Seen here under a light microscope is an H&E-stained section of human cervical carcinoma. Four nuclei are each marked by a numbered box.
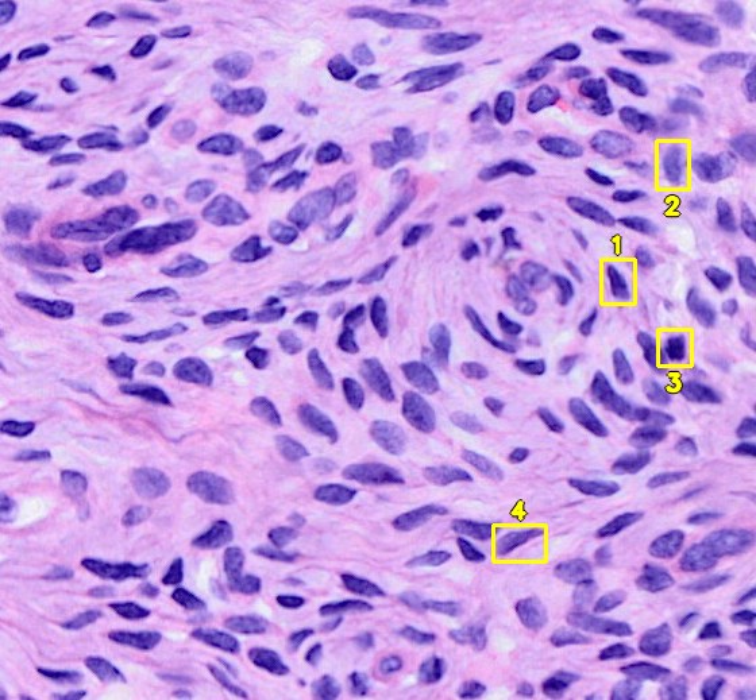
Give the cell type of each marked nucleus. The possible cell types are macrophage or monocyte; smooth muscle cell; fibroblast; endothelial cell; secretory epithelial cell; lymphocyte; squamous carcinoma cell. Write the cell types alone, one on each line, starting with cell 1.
fibroblast
fibroblast
lymphocyte
fibroblast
